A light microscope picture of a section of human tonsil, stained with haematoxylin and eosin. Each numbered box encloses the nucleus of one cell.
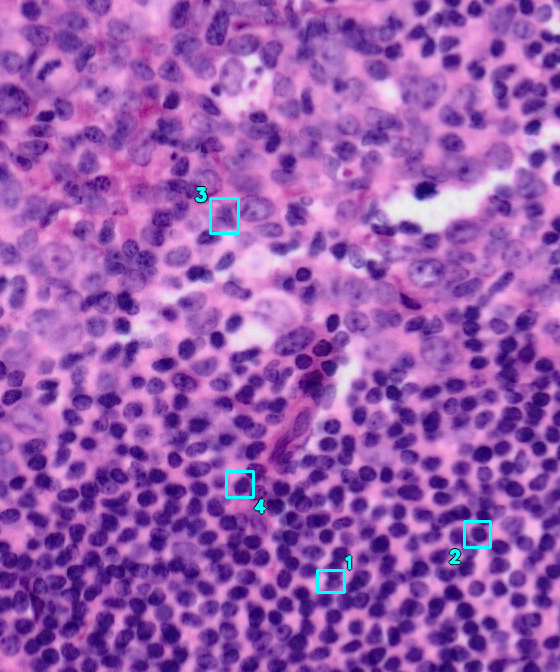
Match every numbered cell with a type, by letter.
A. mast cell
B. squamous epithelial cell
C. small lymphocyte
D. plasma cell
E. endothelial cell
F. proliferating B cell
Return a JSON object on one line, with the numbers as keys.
{"1": "C", "2": "C", "3": "F", "4": "C"}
